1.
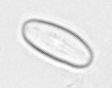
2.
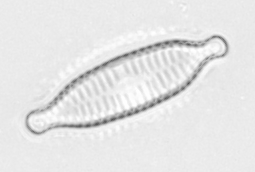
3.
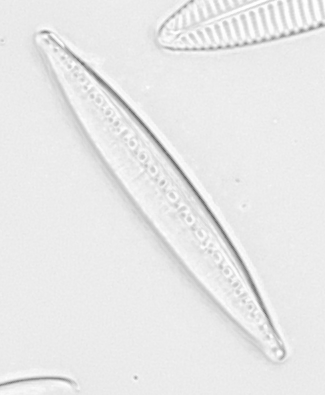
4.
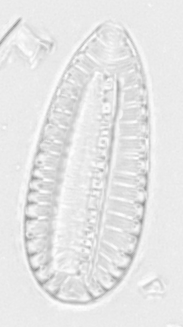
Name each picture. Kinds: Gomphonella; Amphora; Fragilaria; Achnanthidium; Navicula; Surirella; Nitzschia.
Picture 1: Achnanthidium
Picture 2: Fragilaria
Picture 3: Nitzschia
Picture 4: Surirella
